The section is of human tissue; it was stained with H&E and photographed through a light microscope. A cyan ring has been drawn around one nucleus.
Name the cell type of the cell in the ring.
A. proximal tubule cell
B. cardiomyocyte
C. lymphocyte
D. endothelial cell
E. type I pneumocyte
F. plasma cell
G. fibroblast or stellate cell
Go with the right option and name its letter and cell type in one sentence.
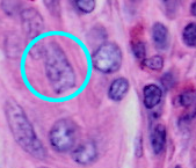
Option D correctly identifies the cell in the ring as an endothelial cell.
